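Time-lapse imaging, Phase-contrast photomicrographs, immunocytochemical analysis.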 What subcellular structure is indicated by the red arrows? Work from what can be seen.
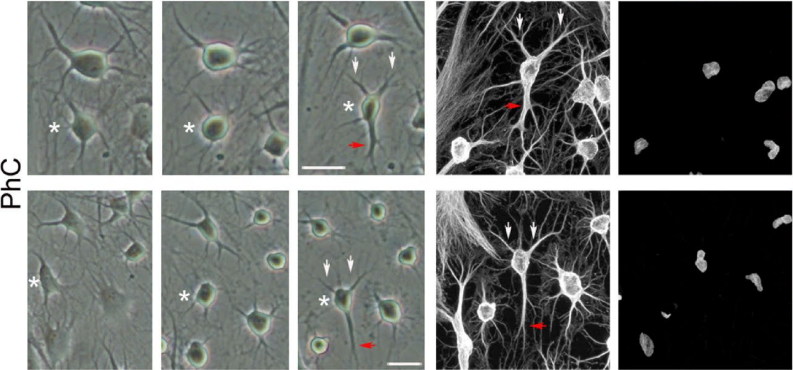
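Axon-like. The red arrows point to a single process that is longer than the others. This process extends from the opposite side of the cell body from the short processes.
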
